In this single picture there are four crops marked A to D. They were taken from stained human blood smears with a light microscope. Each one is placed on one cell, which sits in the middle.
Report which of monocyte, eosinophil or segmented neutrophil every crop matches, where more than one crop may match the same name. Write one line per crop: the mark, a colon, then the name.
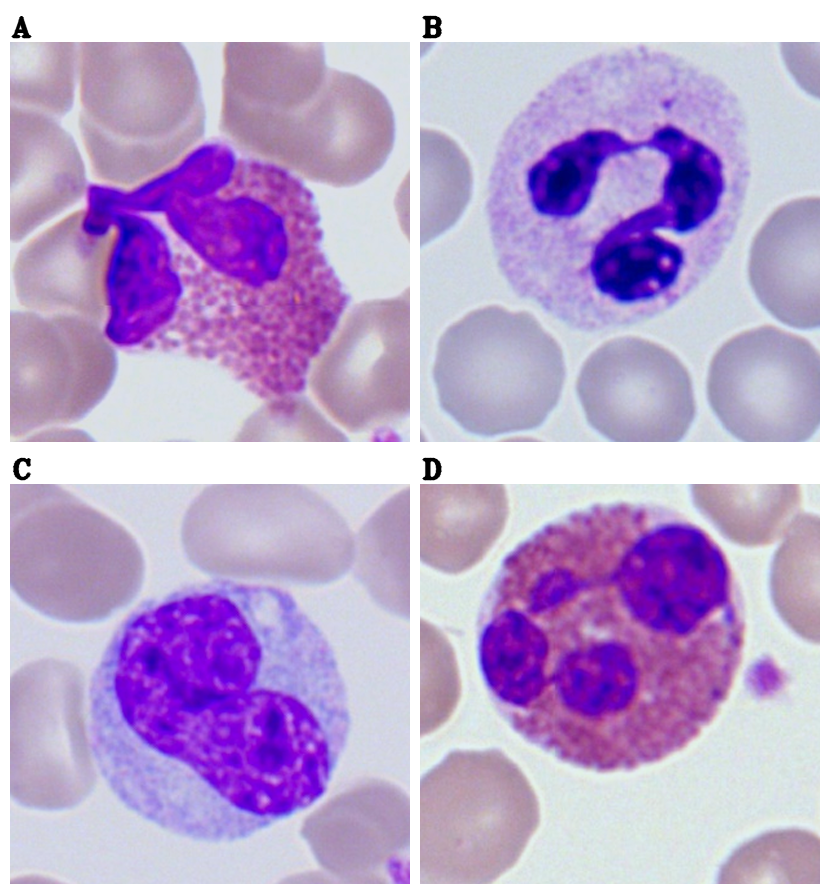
A: eosinophil
B: segmented neutrophil
C: monocyte
D: eosinophil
